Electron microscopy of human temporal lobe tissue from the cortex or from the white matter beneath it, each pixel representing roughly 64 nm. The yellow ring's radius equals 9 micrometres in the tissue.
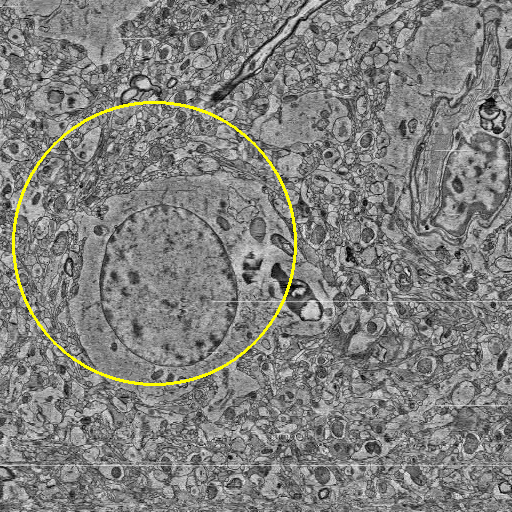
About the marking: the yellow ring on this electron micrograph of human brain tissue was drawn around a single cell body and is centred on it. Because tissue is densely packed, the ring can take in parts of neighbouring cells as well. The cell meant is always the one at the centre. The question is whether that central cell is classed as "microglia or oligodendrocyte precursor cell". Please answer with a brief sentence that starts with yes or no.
No, the central cell belongs to another class.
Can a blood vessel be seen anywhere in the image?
Yes, a vessel shows somewhere in the image.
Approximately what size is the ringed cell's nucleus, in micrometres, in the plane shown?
Approximately 11 by 9 micrometers in this plane.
